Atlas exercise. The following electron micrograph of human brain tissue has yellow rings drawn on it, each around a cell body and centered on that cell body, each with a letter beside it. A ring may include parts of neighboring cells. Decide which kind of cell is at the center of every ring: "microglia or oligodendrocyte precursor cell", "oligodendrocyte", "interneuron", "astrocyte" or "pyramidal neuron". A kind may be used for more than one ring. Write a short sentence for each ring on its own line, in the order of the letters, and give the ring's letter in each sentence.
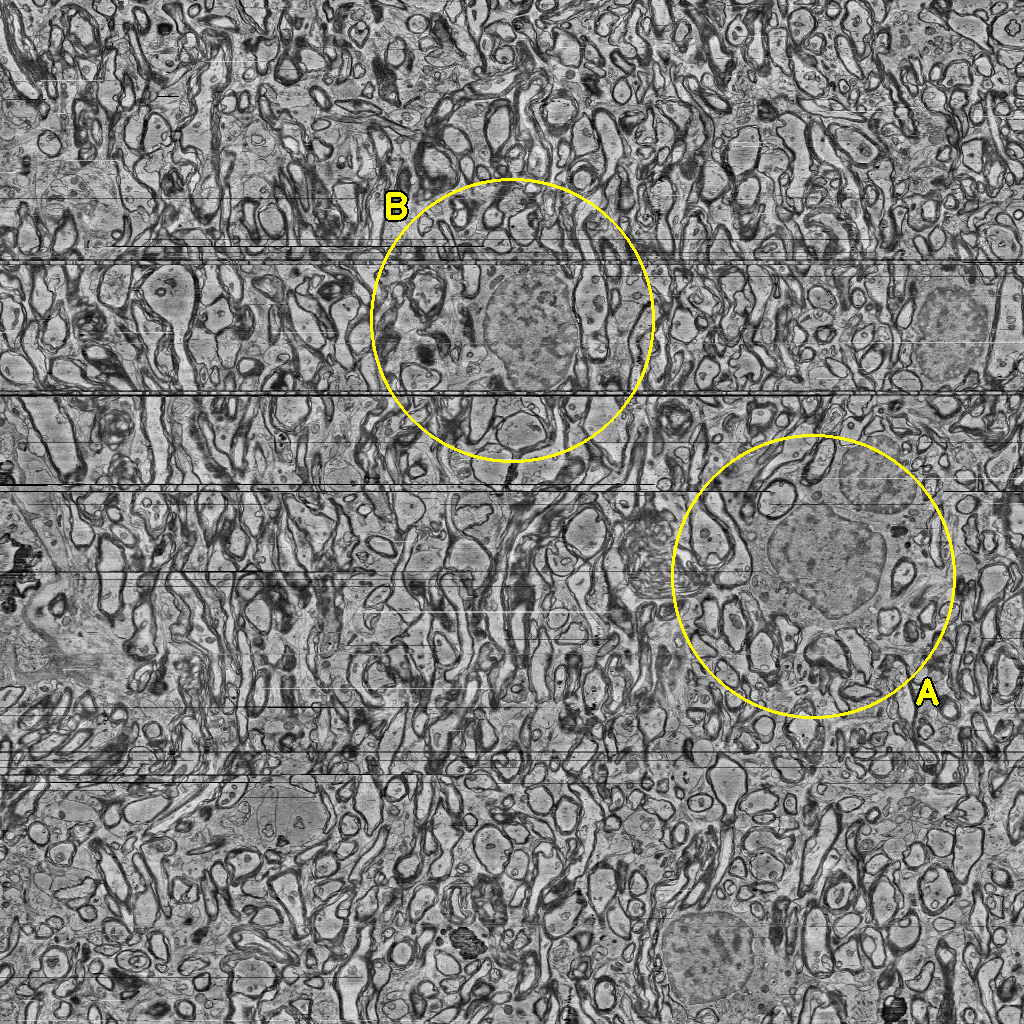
Ring A frames an oligodendrocyte at its center.
Ring B frames an oligodendrocyte at its center.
